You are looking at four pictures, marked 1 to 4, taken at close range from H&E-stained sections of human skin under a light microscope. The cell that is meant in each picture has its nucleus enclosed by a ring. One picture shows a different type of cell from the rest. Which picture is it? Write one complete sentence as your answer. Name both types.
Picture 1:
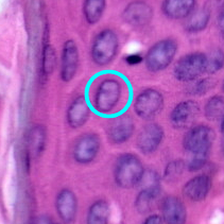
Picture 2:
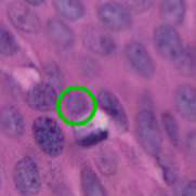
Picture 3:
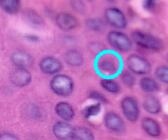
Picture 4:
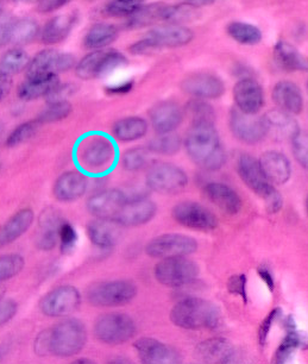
Picture 1 is the odd one out: it shows a suprabasal keratinocyte, while the others show basal keratinocytes.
